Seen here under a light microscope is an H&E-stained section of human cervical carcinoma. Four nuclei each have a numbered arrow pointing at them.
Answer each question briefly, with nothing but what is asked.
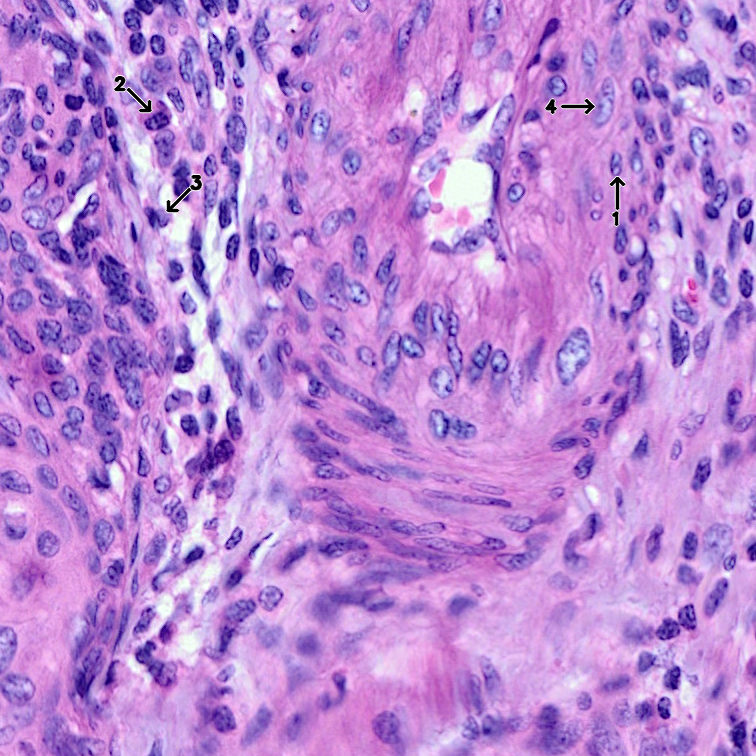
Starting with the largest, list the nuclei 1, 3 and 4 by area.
4, 3, 1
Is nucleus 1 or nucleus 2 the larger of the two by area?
2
